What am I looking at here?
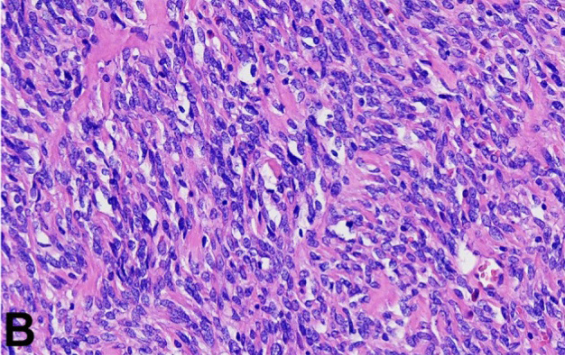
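This is a hypercellular area of a spindle-cell mesenchymal tumor, with cells crowded in loose fascicles. The nuclei are oval to spindled and fairly uniform, with scant cytoplasm. Thin strands and small wisps of pink collagen run between the cells, and a few small vessels are scattered among them.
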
